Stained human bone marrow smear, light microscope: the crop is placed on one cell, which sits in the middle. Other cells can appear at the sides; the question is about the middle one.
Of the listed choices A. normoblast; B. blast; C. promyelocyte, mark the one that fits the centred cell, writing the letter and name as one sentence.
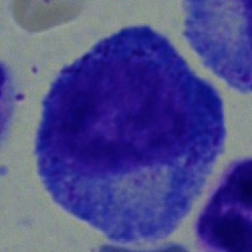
The best answer is option C, since the cell in the middle is a promyelocyte.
